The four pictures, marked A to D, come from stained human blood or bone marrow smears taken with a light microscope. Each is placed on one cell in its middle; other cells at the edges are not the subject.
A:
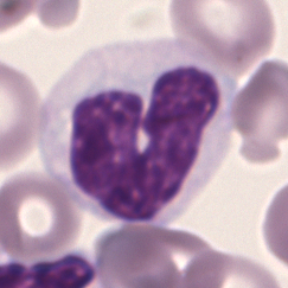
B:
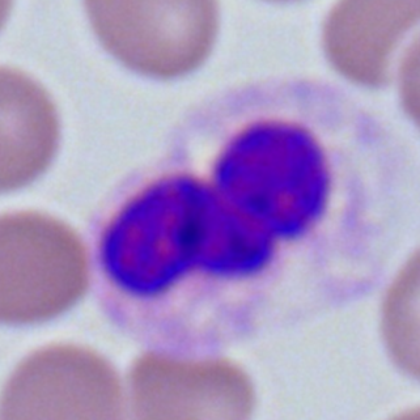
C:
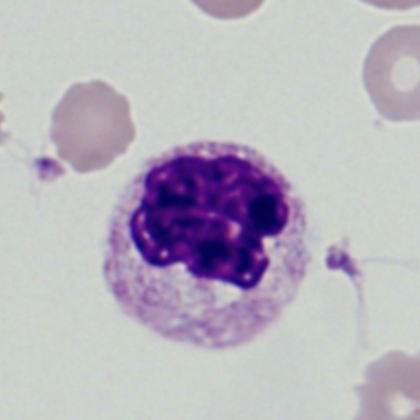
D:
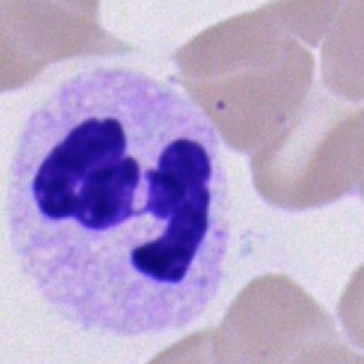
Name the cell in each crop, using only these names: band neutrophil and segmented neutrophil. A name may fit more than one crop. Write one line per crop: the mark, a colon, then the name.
A: band neutrophil
B: segmented neutrophil
C: segmented neutrophil
D: segmented neutrophil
